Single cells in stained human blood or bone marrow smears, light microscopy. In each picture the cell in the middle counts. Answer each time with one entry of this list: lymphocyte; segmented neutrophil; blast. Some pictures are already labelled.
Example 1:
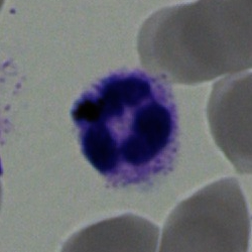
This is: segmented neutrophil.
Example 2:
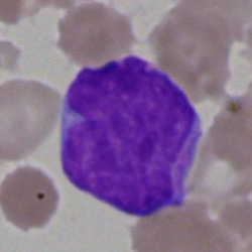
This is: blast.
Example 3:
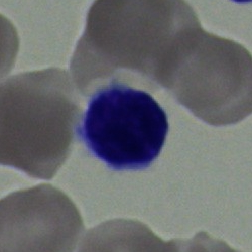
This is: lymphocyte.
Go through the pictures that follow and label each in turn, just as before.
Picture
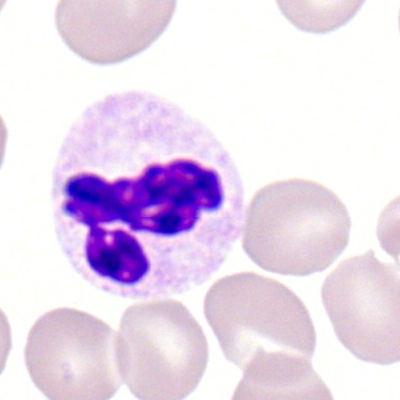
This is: segmented neutrophil.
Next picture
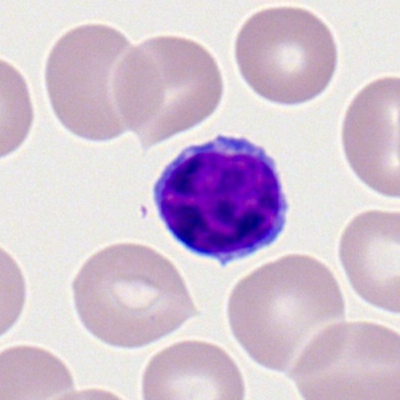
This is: lymphocyte.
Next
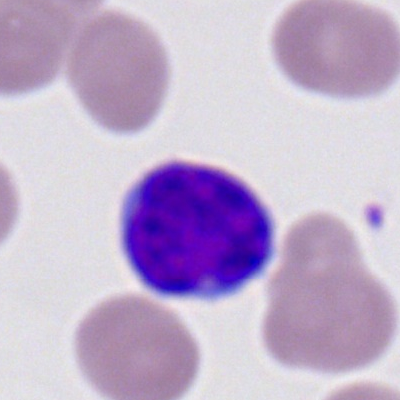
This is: lymphocyte.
